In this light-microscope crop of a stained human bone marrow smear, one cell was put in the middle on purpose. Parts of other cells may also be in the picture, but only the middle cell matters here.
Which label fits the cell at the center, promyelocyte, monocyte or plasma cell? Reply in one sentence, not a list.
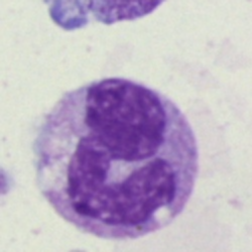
As for the cell in the middle, it is a monocyte.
